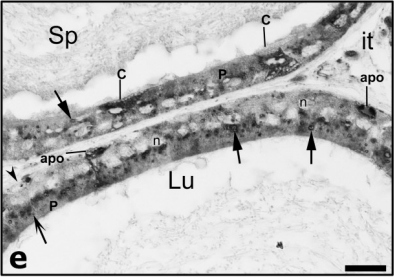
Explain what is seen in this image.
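Two adjacent epididymal tubules cut lengthwise, lined by principal cells with scattered clear cells and basal cells. The principal cells form a columnar layer with pale oval nuclei; their cytoplasm is stained dark and is studded with many dark round granules, some coarse. Small flattened basal cells lie against the base of the epithelium, and a dark condensed cell sits basally. A thin band of interstitial connective tissue separates the tubules.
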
